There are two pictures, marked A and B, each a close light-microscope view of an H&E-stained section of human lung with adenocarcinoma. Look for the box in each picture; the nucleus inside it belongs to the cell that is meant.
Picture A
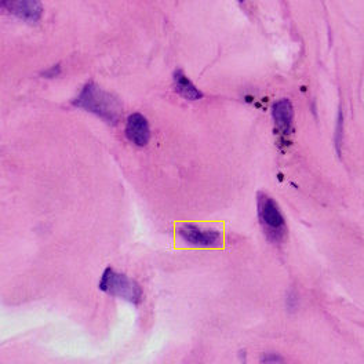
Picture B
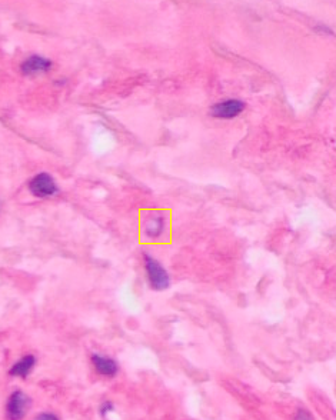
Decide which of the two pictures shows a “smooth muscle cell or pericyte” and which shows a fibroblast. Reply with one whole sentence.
It is picture A that shows a fibroblast, and picture B that shows a “smooth muscle cell or pericyte”.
